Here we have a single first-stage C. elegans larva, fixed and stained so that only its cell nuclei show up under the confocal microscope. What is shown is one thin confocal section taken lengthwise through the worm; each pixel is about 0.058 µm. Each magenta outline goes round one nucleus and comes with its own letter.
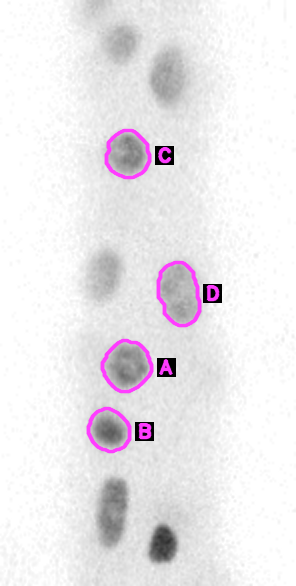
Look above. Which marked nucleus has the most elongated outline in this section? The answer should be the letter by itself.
D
